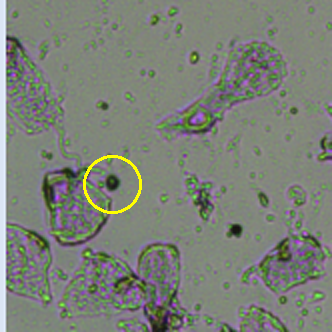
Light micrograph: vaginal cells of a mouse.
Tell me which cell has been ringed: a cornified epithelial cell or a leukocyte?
It is a leukocyte.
